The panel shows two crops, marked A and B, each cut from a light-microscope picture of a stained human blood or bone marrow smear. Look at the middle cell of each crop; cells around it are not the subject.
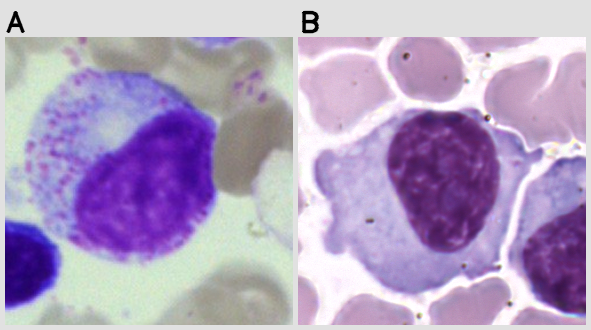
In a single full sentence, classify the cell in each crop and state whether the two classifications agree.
No, crop A carries a myelocyte at its centre, and crop B carries a plasma cell.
